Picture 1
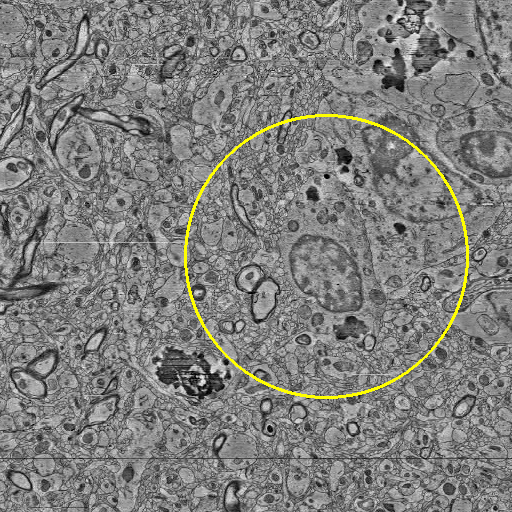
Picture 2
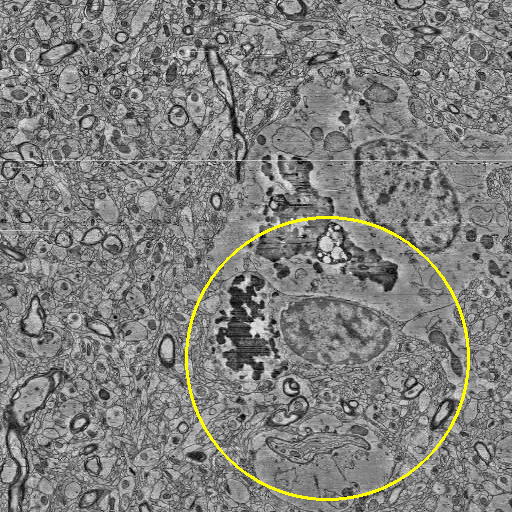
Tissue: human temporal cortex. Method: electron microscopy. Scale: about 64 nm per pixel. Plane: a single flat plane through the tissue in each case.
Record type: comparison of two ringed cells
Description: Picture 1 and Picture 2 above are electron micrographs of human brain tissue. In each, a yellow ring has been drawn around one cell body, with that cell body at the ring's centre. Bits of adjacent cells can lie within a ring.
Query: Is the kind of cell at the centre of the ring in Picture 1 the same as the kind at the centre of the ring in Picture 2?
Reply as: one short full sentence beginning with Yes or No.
Yes, the two ringed cells are of the same kind.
